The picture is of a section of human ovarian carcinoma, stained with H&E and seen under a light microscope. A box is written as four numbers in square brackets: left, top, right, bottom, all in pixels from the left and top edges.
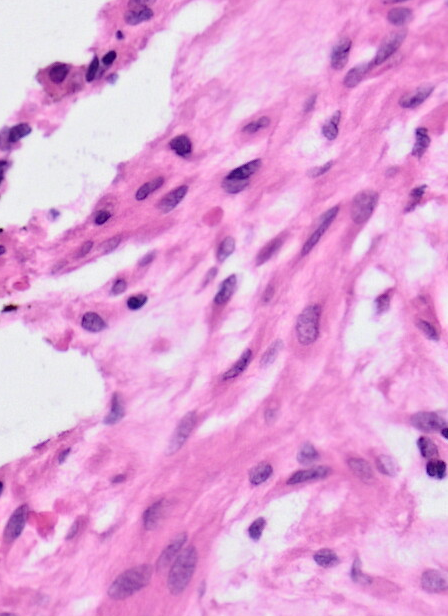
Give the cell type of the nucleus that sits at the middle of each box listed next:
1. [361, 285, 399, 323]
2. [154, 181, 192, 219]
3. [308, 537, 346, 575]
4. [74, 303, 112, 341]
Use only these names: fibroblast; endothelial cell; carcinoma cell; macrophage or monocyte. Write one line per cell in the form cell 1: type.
cell 1: fibroblast
cell 2: fibroblast
cell 3: fibroblast
cell 4: macrophage or monocyte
